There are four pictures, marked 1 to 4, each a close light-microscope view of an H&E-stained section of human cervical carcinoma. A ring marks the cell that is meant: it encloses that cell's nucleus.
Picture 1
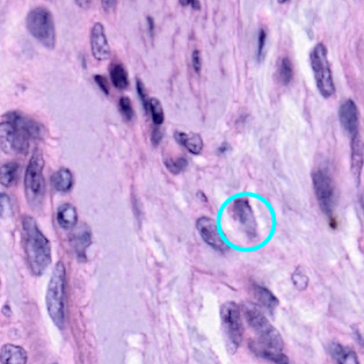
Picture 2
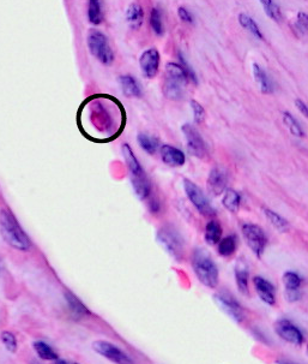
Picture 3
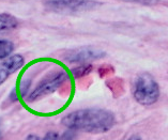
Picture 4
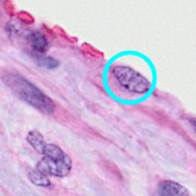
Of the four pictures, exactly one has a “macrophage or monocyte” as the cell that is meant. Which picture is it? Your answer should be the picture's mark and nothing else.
1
